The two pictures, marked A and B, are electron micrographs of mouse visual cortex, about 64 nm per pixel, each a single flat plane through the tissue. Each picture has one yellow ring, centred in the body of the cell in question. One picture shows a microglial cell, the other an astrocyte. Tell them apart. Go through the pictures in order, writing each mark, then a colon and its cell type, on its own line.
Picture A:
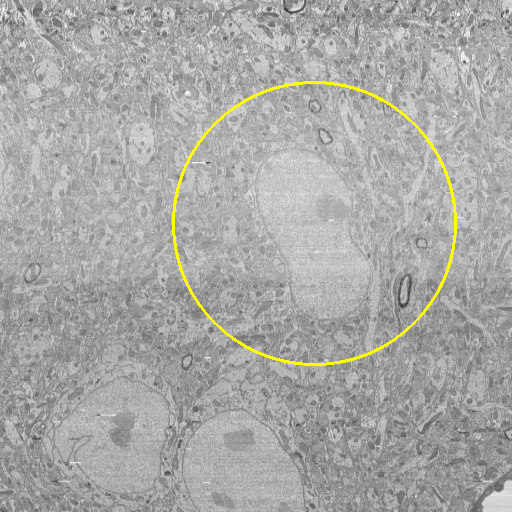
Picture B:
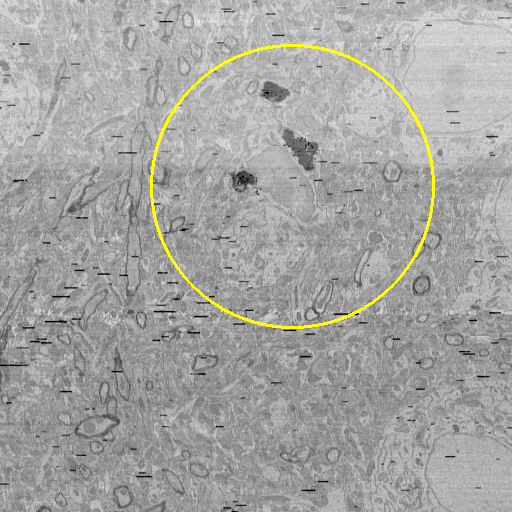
A: astrocyte
B: microglial cell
